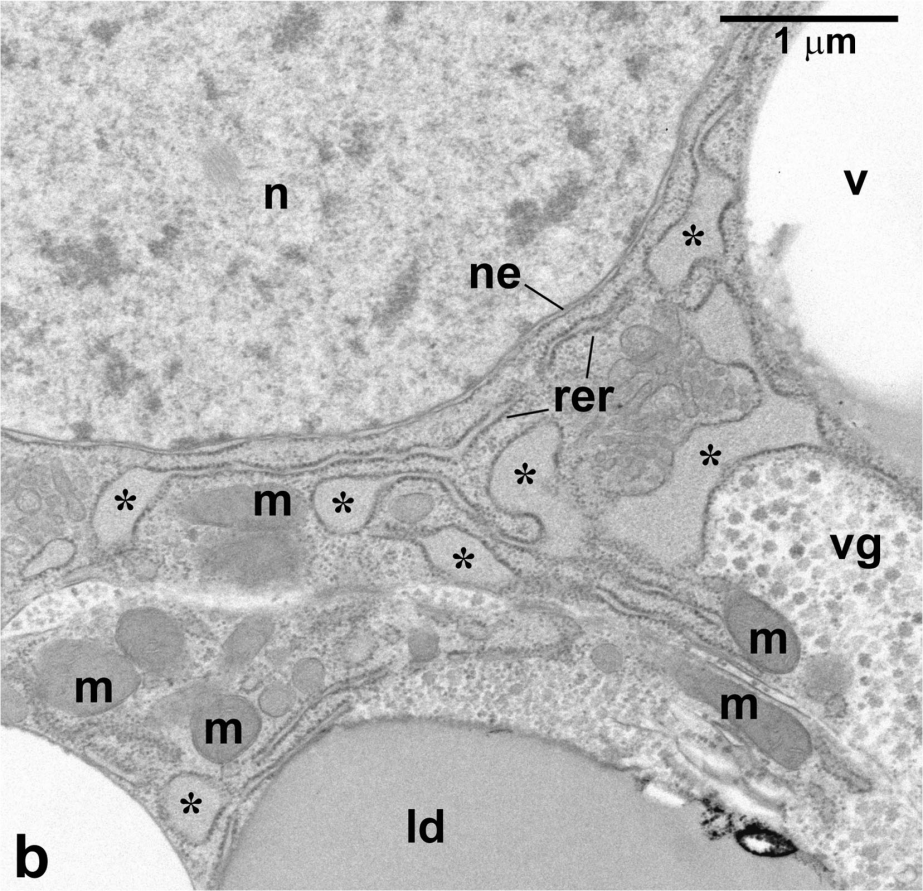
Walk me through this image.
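This electron micrograph shows part of a fat-storing cell, with a large nucleus with finely granular chromatin at the upper left bounded by a double nuclear envelope. Around the nucleus the cytoplasm holds many distended, pale cisternae of rough endoplasmic reticulum, their membranes studded with ribosomes, together with numerous oval mitochondria. A large homogeneous lipid droplet lies at the bottom, a clear vacuole at the upper right, and a vacuole filled with small dark particle aggregates at the right.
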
